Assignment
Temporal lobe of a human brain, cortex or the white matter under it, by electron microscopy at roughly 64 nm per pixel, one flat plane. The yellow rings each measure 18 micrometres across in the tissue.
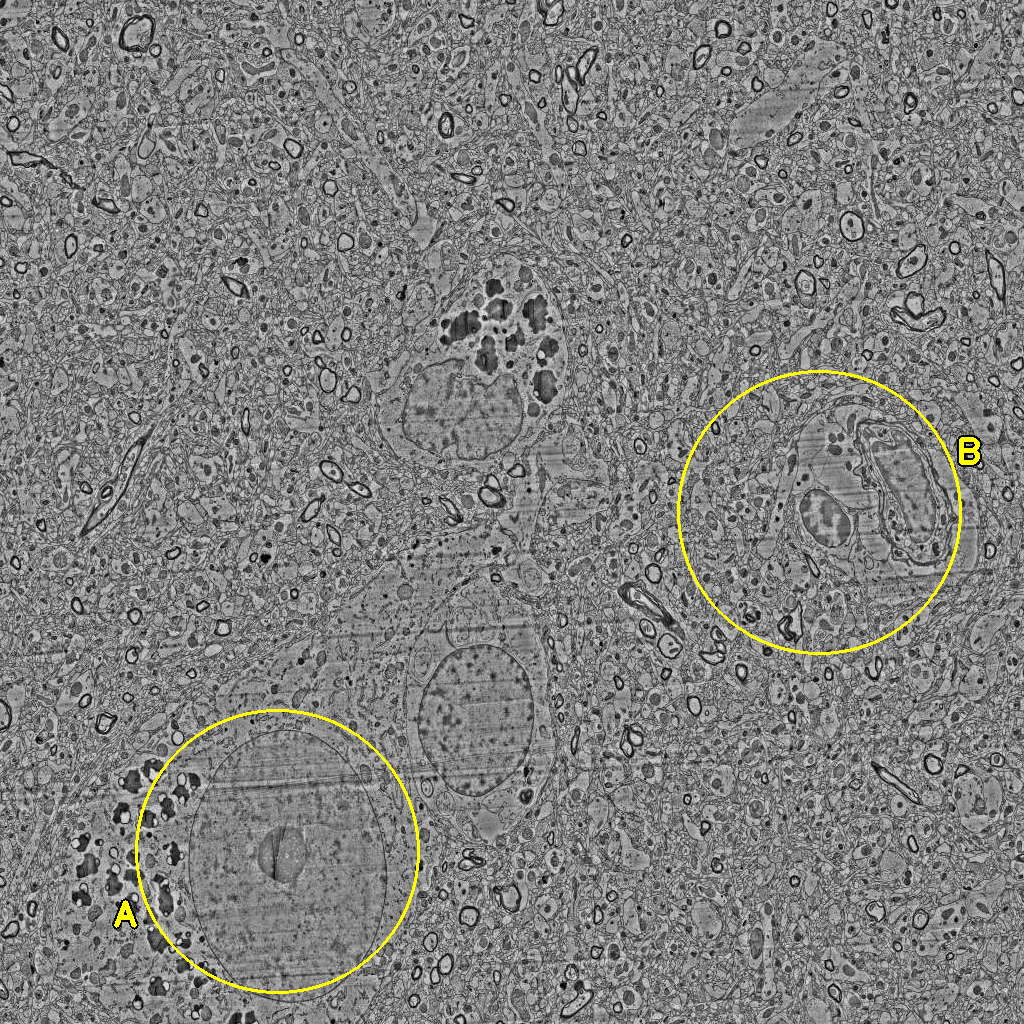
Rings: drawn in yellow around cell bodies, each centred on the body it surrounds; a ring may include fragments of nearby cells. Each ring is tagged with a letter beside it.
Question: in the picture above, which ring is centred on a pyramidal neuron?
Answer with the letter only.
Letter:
A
